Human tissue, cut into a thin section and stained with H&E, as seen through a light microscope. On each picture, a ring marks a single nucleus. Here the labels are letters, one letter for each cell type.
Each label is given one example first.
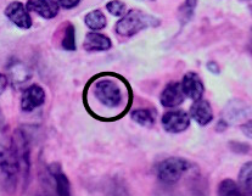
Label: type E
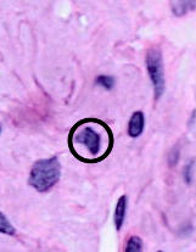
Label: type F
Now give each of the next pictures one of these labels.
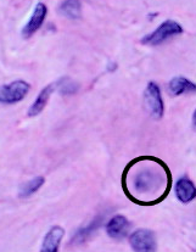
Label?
type F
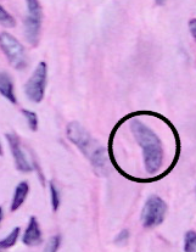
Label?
type F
